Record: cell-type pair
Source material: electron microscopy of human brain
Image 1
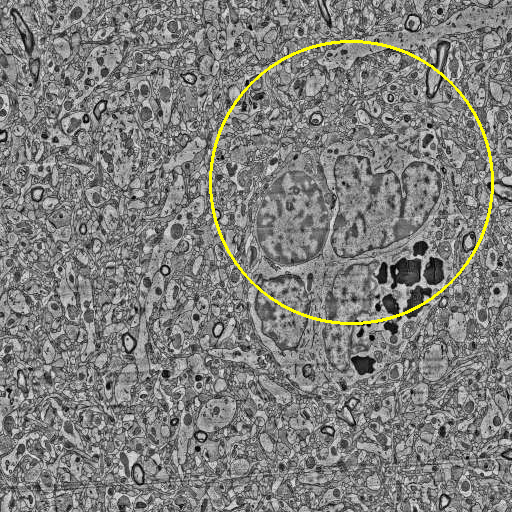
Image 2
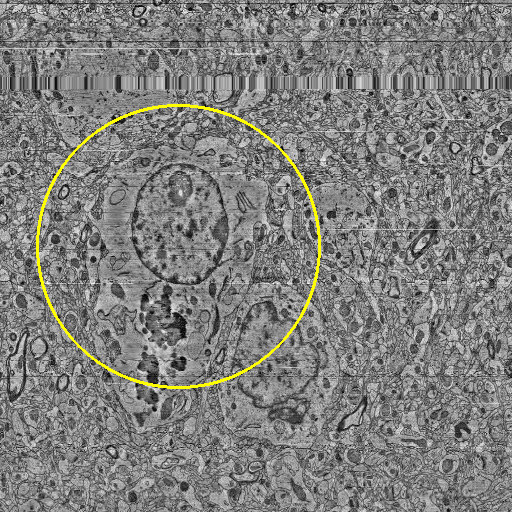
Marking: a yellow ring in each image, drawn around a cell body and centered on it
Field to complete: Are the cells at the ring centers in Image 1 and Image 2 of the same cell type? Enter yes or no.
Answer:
no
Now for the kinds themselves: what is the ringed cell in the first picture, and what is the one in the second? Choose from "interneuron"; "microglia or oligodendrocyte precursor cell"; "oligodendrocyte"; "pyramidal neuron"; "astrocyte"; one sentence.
Here the first cell is a microglial cell or oligodendrocyte precursor cell and the second cell is an astrocyte.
